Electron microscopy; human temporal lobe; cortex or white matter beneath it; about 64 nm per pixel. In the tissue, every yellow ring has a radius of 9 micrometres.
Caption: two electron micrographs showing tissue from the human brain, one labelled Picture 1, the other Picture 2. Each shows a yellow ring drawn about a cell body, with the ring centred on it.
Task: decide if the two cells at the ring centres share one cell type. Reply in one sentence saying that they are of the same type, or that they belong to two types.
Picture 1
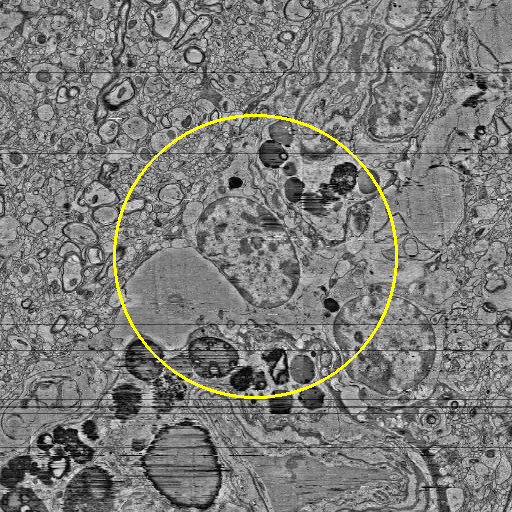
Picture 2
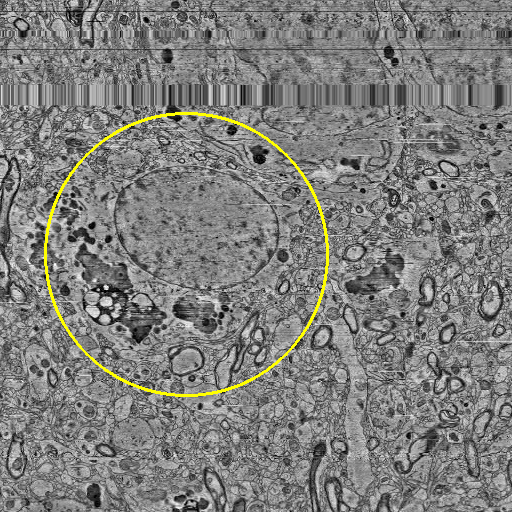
The cells at the ring centres in Picture 1 and Picture 2 belong to two types.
